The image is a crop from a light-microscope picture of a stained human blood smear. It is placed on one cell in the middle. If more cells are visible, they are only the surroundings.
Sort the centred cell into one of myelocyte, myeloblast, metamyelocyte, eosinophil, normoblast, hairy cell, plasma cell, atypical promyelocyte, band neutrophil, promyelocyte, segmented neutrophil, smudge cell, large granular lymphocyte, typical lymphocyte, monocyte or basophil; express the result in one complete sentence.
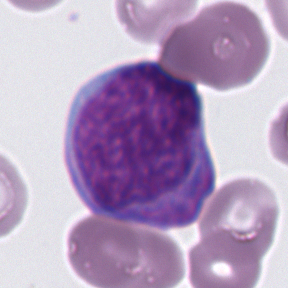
The crop centres on a single cell, and that cell is an atypical promyelocyte.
